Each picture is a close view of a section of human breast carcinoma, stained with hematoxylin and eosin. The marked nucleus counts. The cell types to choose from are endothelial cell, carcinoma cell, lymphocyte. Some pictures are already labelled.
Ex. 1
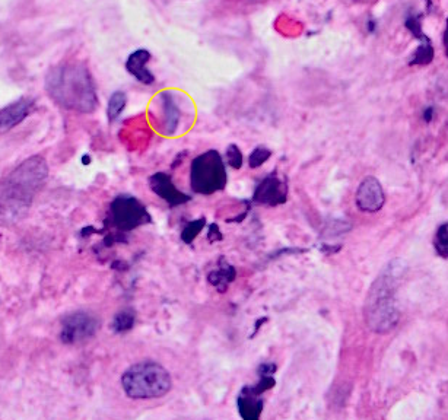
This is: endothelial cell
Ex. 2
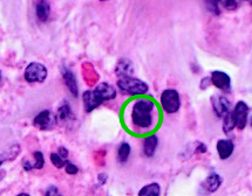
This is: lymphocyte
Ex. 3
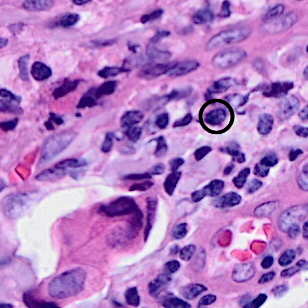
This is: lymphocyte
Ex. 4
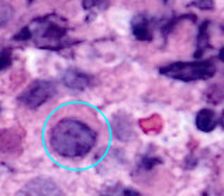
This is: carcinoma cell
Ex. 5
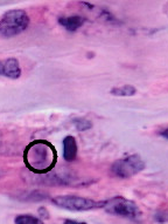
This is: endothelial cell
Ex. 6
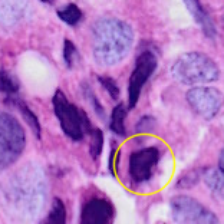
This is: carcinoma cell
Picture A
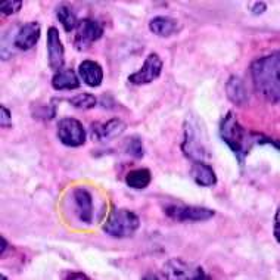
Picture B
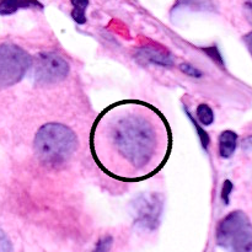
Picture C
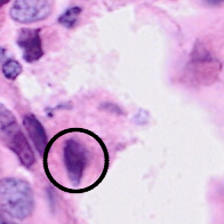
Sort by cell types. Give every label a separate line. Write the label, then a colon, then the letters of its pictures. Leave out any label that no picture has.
carcinoma cell: B, C
lymphocyte: A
